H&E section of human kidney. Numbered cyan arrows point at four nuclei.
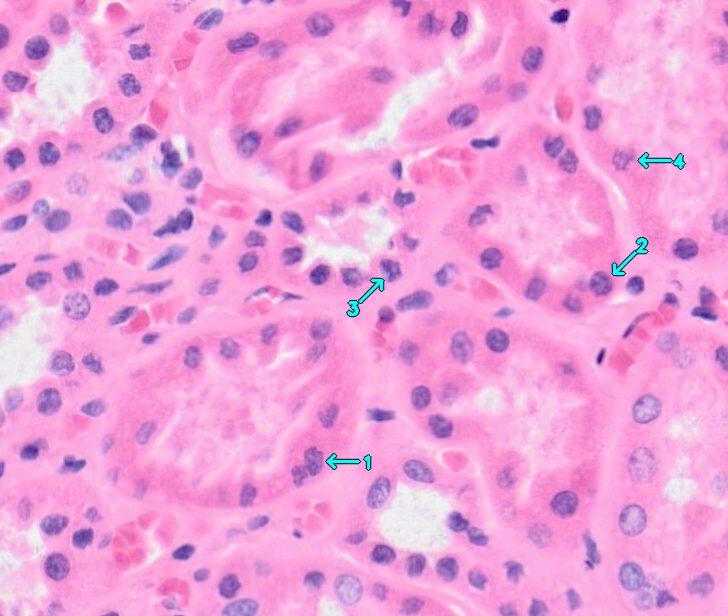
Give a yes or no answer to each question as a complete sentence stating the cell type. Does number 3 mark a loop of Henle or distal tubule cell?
Yes, the cell that has number 3 is a loop of Henle or distal tubule cell.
